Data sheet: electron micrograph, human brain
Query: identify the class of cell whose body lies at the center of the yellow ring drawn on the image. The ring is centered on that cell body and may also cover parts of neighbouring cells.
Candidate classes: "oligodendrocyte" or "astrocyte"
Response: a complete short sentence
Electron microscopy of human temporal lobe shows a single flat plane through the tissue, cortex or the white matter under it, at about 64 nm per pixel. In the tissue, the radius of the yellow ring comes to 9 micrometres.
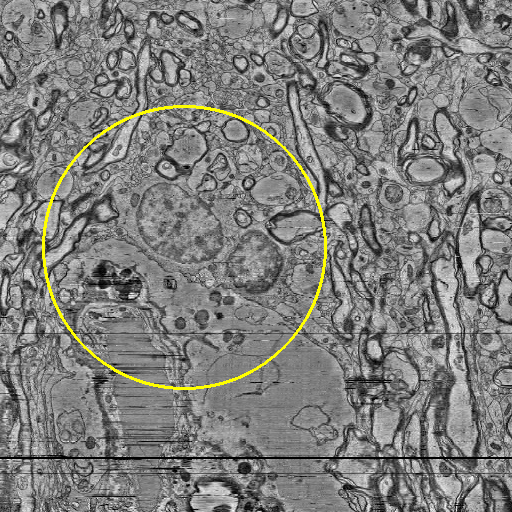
At the center of the ring lies an oligodendrocyte.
